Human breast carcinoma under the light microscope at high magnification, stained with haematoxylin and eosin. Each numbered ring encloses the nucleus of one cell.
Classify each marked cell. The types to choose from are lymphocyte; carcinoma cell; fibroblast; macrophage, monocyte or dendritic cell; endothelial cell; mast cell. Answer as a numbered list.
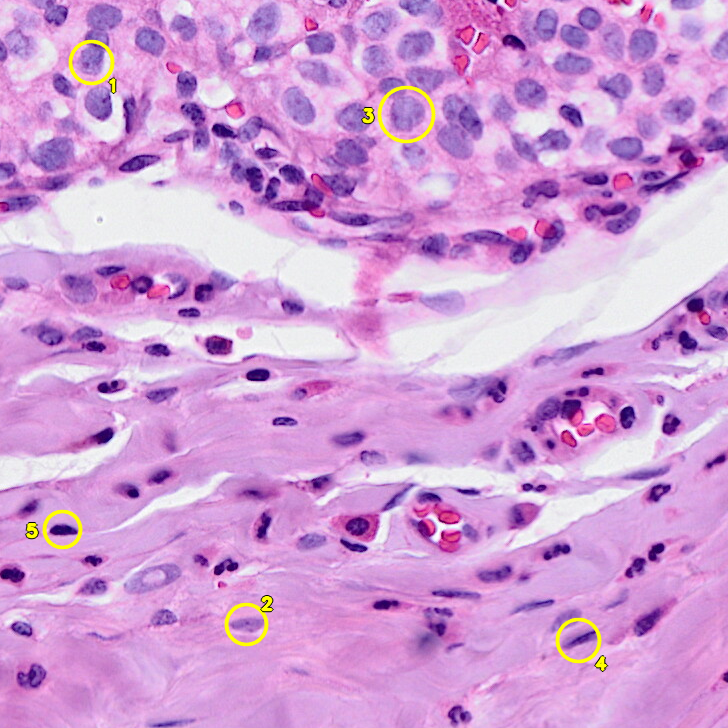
1. carcinoma cell
2. fibroblast
3. carcinoma cell
4. fibroblast
5. lymphocyte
